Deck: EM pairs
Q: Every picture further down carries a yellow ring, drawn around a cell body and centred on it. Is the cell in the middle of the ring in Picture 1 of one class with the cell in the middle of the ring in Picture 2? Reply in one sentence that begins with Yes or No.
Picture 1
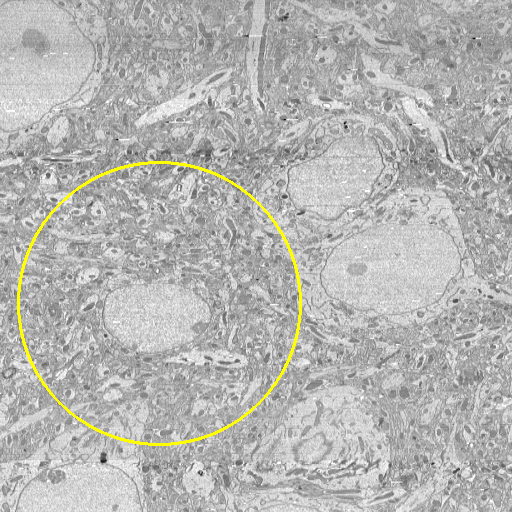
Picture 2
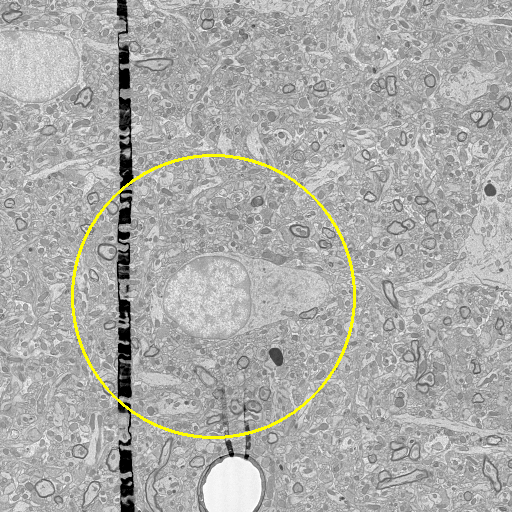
No, the cell centred in the ring of Picture 1 and the one in Picture 2 belong to separate classes.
